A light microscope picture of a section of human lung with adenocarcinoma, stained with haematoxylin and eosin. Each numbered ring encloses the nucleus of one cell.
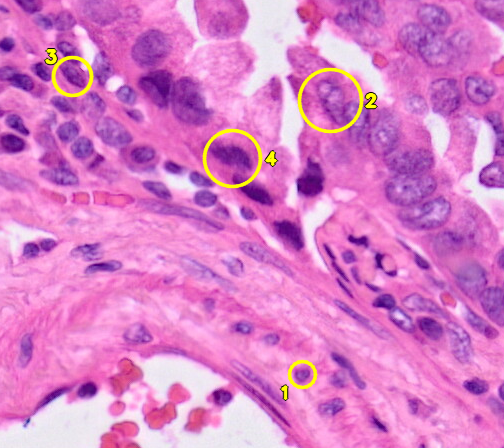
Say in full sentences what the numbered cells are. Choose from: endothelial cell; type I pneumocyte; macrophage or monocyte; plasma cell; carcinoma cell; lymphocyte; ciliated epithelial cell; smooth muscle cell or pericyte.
Cell 1 is a smooth muscle cell or pericyte. Cells 2 and 4 are carcinoma cells. Cell 3 is a plasma cell.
